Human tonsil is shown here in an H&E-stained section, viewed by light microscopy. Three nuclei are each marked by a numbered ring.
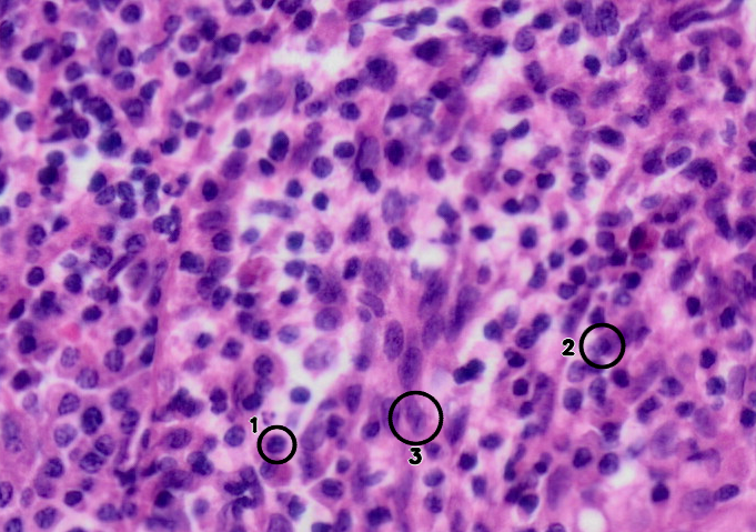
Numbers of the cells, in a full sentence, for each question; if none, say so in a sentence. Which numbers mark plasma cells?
Among the marked cells, a plasma cell is found only at number 1.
